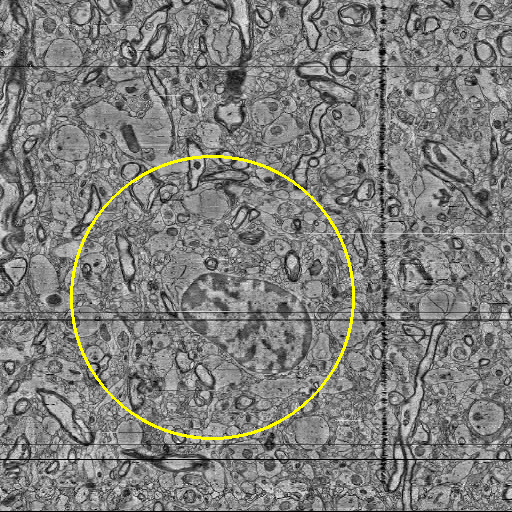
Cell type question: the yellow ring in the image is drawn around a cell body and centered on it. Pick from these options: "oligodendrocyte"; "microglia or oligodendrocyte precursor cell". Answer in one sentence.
The ringed cell at the center is a microglial cell or oligodendrocyte precursor cell.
